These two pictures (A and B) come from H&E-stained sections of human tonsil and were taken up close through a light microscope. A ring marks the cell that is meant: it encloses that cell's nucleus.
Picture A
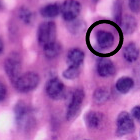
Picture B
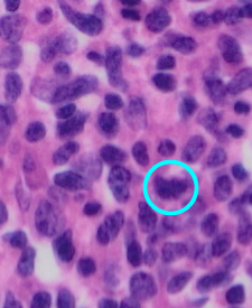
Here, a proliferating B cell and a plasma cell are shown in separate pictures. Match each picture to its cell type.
A: plasma cell
B: proliferating B cell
